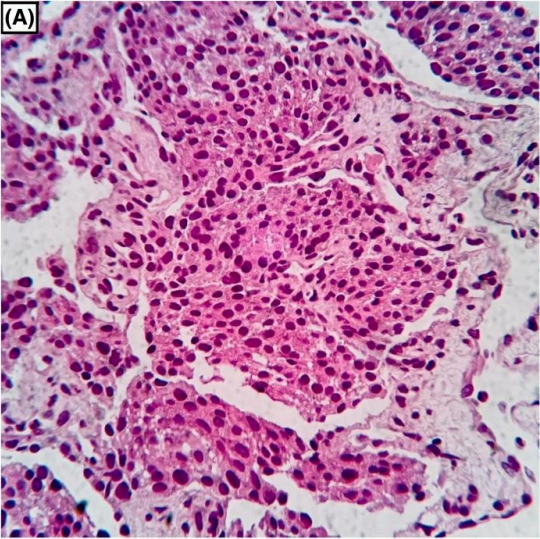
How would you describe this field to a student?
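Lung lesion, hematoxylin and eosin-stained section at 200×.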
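Tumor cells are arranged in rounded nests, the Zellballen pattern, separated by thin, pale fibrous septa. The cells are polygonal with moderate amounts of pink, finely granular cytoplasm. Their nuclei are round to oval and darkly stained, and they vary somewhat in size. Narrow clefts separate some nests from the surrounding delicate stroma.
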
